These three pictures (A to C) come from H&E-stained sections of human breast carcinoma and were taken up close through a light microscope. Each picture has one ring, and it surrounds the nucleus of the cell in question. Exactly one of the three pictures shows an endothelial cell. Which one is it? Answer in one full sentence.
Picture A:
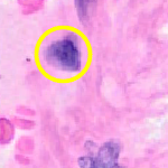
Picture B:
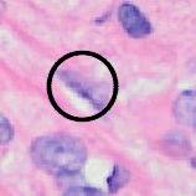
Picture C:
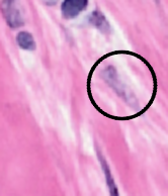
The picture with the endothelial cell is A.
